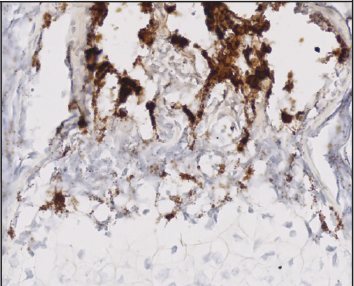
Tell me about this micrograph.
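Section through a growth plate at the boundary between cartilage and the invading marrow region. The lower part is cartilage, with rounded chondrocytes sitting in lacunae separated by pale matrix and pale blue nuclei. Above, the tissue becomes a loose network of spaces and thin strands where dense brown dot clusters are concentrated in cells lining and lying among these spaces, forming irregular dark brown aggregates. Brown labelling becomes sparse and scattered as it reaches the top of the cartilage and is largely absent deeper within it.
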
